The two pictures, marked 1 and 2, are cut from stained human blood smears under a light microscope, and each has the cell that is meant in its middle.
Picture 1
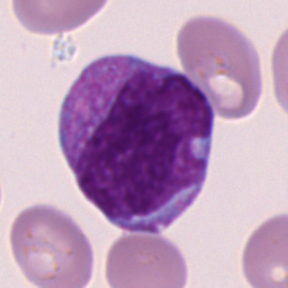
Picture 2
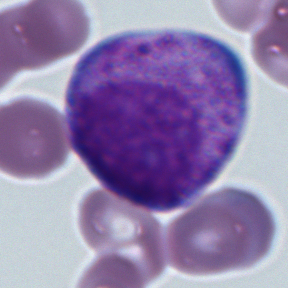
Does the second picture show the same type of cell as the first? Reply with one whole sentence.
Yes, both cells are atypical promyelocytes.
